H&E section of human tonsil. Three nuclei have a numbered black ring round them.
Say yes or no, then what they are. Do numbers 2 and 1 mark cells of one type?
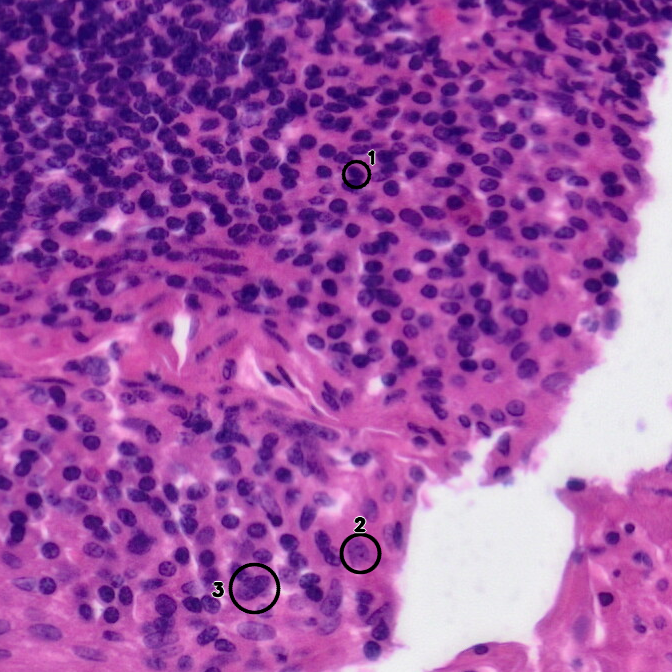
No, cell 2 is a squamous epithelial cell, while a plasma cell is what cell 1 is.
